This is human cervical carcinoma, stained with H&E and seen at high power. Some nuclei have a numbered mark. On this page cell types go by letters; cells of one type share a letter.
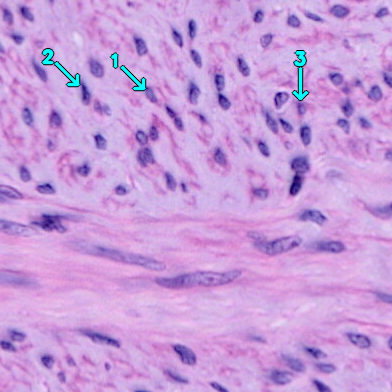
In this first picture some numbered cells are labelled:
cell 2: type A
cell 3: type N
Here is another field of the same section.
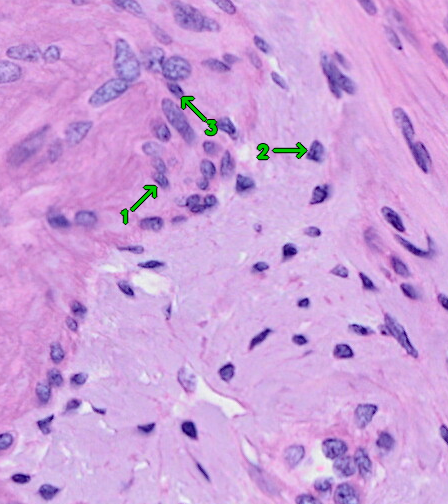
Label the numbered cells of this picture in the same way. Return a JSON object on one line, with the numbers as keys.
{"1": "type N", "2": "type A", "3": "type N"}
